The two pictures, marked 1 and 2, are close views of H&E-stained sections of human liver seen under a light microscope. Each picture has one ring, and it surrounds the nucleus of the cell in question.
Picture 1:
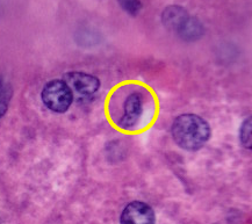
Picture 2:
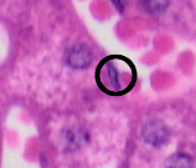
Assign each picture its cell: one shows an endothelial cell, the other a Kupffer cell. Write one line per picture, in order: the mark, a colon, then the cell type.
1: Kupffer cell
2: endothelial cell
